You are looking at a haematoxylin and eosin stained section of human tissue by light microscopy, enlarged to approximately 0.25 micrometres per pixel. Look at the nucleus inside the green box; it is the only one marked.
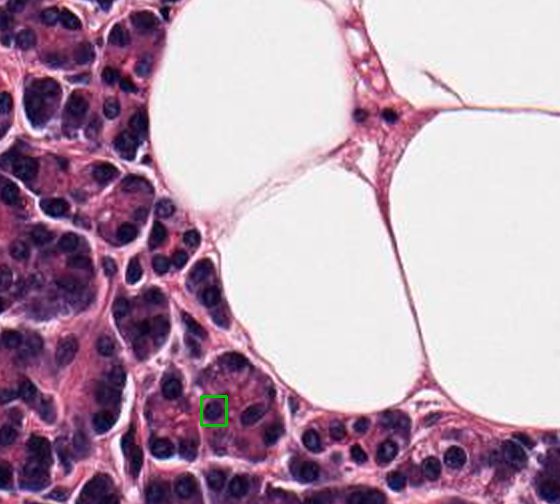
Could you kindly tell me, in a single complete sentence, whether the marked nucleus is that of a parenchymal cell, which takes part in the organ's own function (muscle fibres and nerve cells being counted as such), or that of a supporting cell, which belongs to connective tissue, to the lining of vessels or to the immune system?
A parenchymal cell, namely a pancreatic acinar cell, is the owner of the marked nucleus.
